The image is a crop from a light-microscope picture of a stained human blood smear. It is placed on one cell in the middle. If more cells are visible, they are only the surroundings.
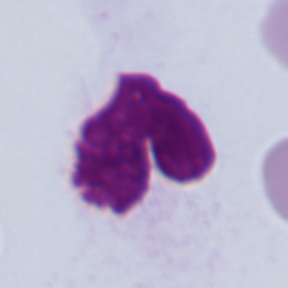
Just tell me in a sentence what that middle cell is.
The cell occupying the middle of the crop is a smudge cell.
